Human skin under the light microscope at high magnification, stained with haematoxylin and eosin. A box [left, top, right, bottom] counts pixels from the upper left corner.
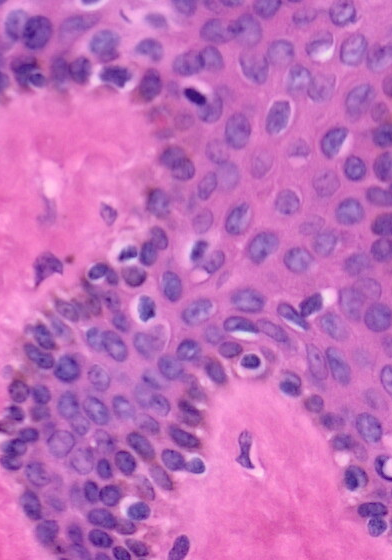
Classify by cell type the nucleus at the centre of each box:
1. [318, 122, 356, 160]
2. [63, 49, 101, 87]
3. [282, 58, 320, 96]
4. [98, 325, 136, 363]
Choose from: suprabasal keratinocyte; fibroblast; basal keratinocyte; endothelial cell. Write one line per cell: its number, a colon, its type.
1: suprabasal keratinocyte
2: basal keratinocyte
3: suprabasal keratinocyte
4: suprabasal keratinocyte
